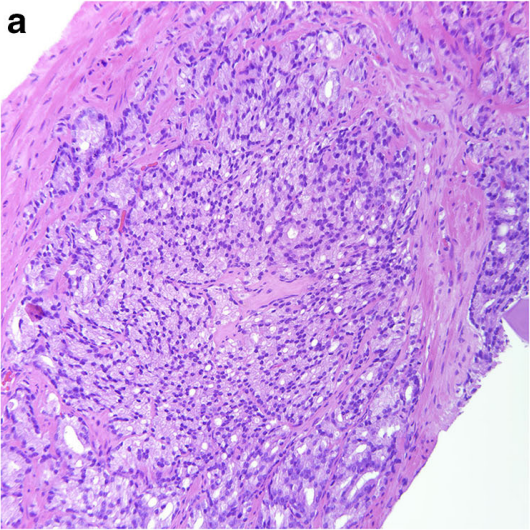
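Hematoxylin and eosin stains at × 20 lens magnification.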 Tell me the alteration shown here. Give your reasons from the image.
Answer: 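Cribriform cancer. A large rounded nest of tumor cells fills most of the field. The nest is perforated by many small round punched-out spaces. The nest is bounded by pink fibromuscular stroma.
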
